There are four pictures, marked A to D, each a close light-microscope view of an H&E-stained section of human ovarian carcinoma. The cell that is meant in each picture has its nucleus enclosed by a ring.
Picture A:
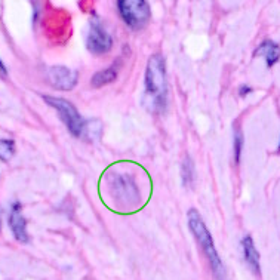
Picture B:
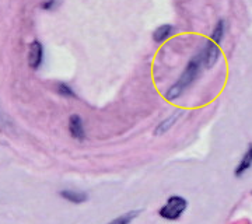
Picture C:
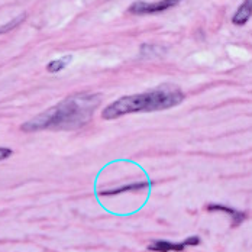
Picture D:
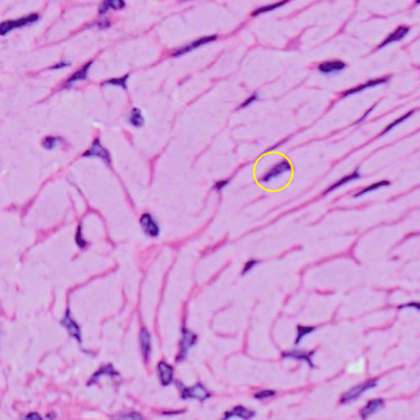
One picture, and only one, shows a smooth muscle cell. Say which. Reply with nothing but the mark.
B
